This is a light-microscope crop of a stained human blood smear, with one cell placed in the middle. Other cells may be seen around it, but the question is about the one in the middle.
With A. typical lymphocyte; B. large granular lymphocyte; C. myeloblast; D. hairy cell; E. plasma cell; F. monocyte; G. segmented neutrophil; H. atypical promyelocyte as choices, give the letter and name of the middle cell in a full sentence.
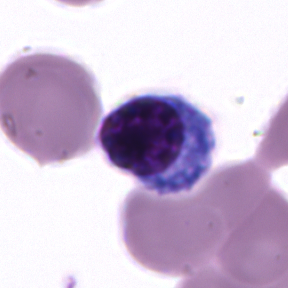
Given that the cell in the middle is a plasma cell, option E is correct.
